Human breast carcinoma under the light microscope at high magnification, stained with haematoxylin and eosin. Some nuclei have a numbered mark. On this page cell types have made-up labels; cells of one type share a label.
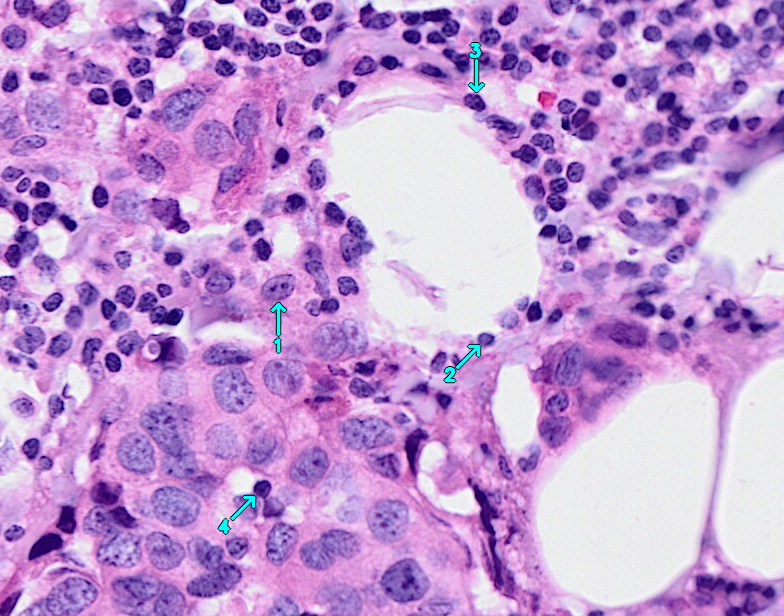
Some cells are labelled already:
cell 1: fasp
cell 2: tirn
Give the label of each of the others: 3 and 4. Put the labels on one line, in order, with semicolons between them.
tirn; tirn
